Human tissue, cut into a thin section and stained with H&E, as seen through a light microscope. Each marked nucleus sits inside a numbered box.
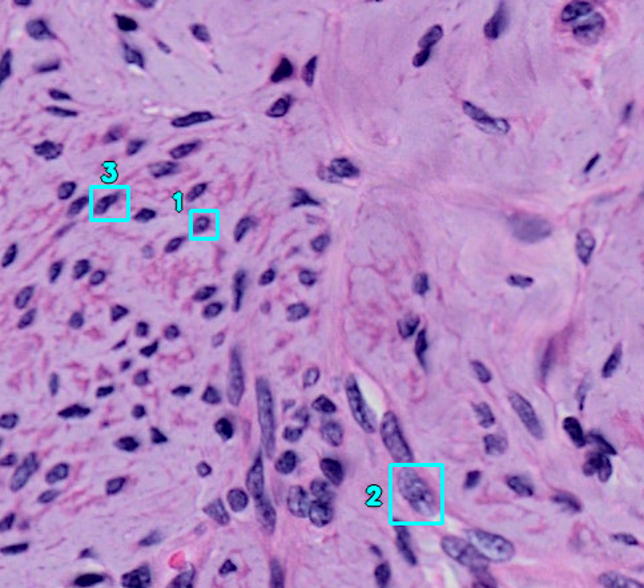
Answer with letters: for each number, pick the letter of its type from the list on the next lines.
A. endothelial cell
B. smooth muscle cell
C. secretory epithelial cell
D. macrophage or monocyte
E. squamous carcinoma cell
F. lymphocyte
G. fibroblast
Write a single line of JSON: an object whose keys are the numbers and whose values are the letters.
{"1": "B", "2": "A", "3": "B"}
